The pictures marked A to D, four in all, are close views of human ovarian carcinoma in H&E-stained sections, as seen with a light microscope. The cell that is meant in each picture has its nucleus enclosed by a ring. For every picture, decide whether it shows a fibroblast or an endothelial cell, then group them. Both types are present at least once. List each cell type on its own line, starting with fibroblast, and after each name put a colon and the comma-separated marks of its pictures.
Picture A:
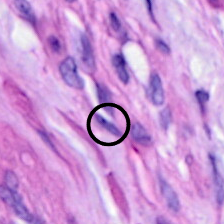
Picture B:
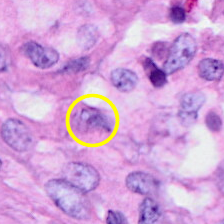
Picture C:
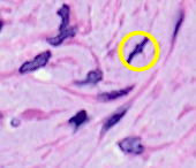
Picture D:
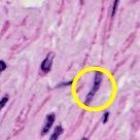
fibroblast: B, C, D
endothelial cell: A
